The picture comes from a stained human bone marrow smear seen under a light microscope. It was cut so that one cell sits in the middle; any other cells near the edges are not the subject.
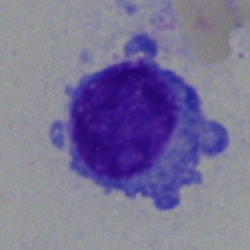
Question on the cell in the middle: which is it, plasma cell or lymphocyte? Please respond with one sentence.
The central cell, amid any neighbouring cells, is a plasma cell.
